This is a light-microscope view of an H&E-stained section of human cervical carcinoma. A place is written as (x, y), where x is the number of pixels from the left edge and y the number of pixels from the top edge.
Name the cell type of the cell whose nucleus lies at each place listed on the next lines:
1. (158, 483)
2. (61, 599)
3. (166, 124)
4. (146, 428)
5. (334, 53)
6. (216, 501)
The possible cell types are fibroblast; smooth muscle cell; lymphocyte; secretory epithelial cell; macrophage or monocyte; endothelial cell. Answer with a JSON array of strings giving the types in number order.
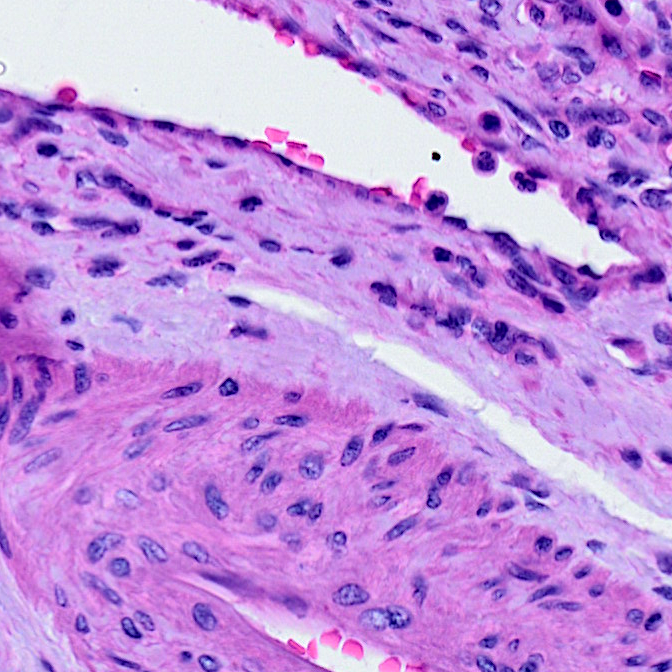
["smooth muscle cell", "smooth muscle cell", "endothelial cell", "smooth muscle cell", "endothelial cell", "smooth muscle cell"]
